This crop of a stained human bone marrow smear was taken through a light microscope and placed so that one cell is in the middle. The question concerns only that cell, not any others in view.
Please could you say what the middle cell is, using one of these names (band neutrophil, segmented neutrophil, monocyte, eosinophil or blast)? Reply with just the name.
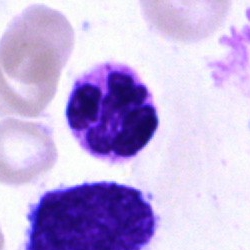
segmented neutrophil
